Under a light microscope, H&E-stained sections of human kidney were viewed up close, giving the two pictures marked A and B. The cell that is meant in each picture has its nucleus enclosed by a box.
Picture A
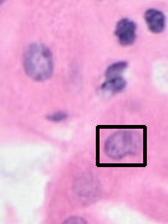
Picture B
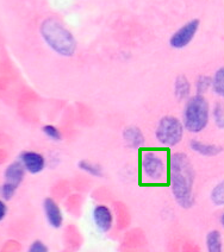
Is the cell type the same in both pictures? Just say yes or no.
no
